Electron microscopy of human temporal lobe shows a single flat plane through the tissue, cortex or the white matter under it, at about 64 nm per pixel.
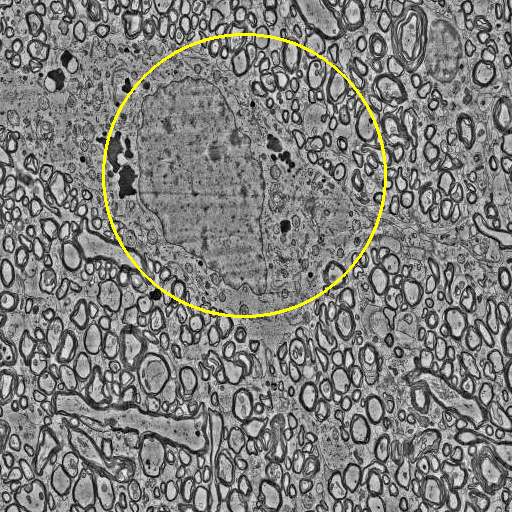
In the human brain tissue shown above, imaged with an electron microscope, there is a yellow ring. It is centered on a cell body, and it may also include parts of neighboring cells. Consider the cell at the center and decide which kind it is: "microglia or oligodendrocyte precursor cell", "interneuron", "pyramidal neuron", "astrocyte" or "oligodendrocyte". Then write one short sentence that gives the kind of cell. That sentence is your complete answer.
This centered cell body is that of a pyramidal neuron.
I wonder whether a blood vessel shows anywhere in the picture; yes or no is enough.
No, no blood vessel shows in the picture.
